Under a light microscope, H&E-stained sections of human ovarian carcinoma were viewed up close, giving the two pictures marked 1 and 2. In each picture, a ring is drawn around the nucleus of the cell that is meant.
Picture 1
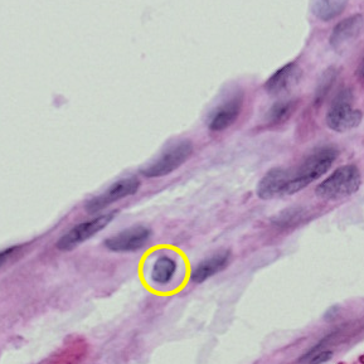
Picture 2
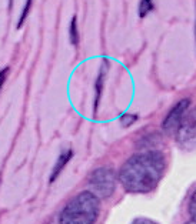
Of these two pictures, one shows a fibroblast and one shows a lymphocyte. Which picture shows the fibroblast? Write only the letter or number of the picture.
2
